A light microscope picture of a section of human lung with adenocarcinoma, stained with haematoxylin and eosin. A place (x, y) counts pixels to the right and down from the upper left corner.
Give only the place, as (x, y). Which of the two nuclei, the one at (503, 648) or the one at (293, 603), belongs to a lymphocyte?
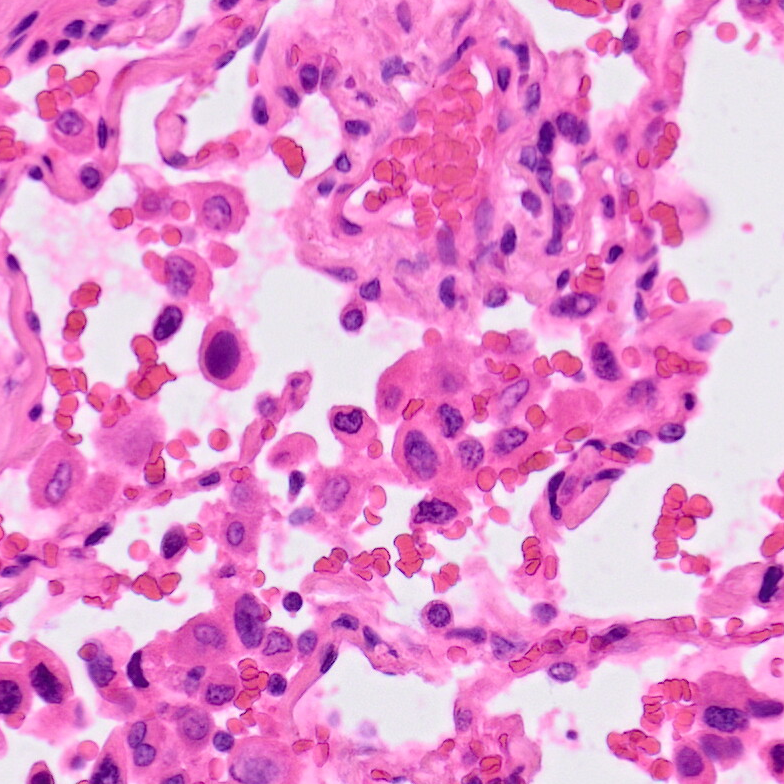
(293, 603)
